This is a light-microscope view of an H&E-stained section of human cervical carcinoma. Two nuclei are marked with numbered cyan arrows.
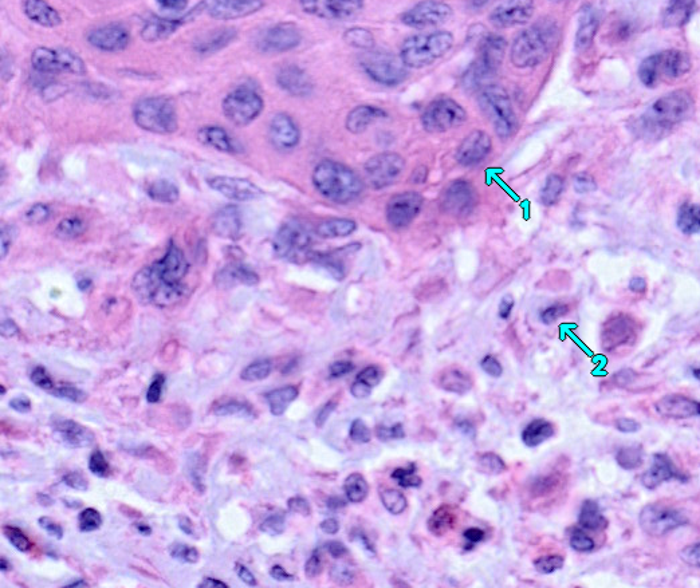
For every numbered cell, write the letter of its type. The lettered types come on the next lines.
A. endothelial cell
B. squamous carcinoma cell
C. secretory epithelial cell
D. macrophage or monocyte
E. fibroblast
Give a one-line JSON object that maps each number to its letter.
{"1": "B", "2": "E"}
